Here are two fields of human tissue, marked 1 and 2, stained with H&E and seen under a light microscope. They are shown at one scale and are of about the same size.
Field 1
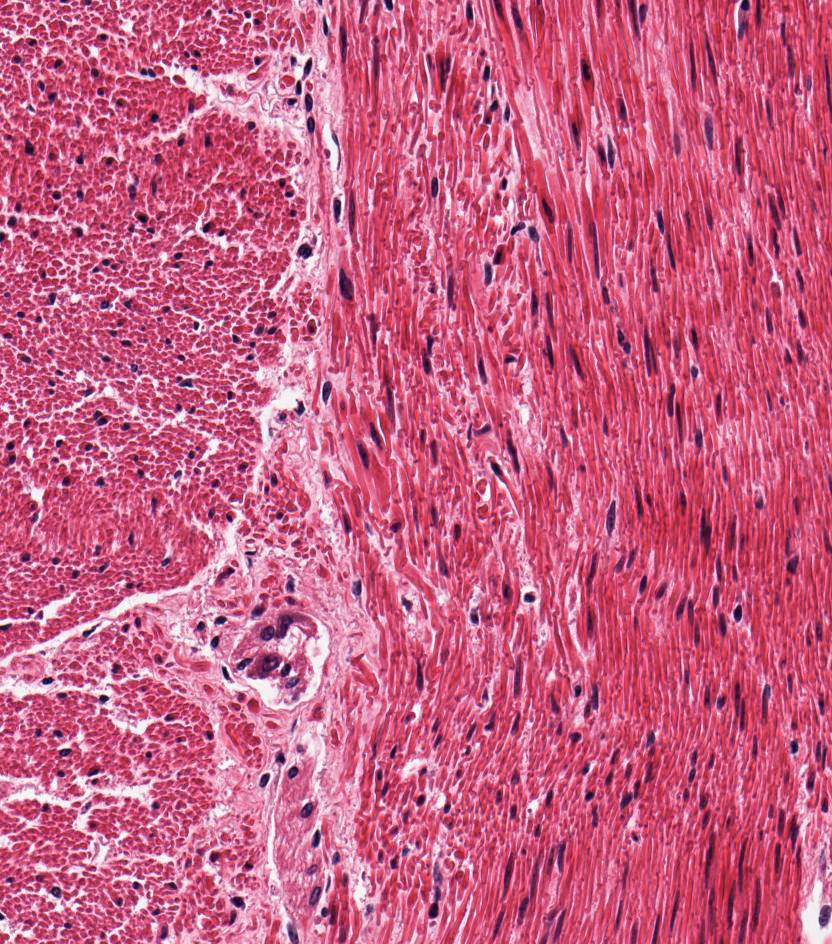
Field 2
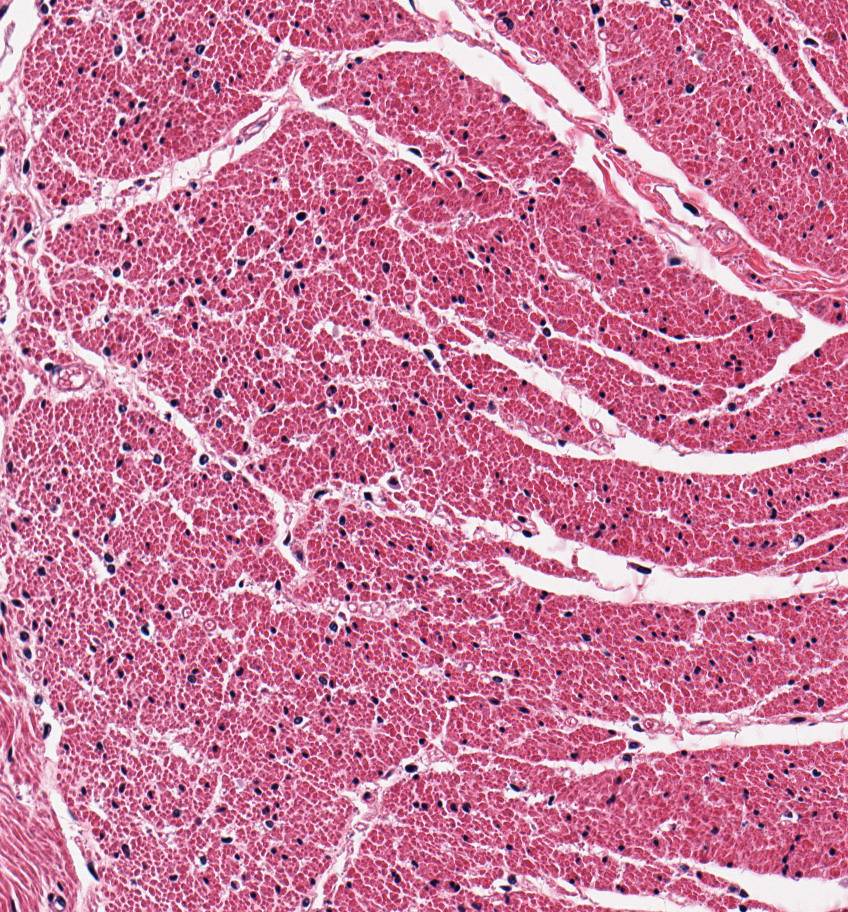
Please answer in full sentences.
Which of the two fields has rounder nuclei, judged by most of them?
On the whole the nuclei of field 2 are rounder than those of field 1.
